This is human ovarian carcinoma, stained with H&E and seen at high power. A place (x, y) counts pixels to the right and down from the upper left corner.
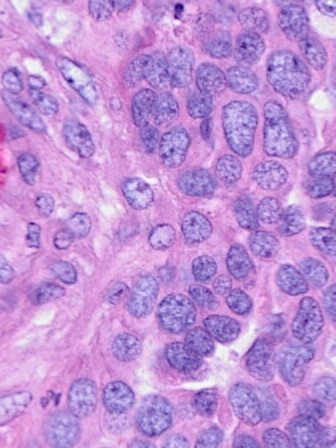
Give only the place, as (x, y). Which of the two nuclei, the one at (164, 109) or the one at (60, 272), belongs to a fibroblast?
(60, 272)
